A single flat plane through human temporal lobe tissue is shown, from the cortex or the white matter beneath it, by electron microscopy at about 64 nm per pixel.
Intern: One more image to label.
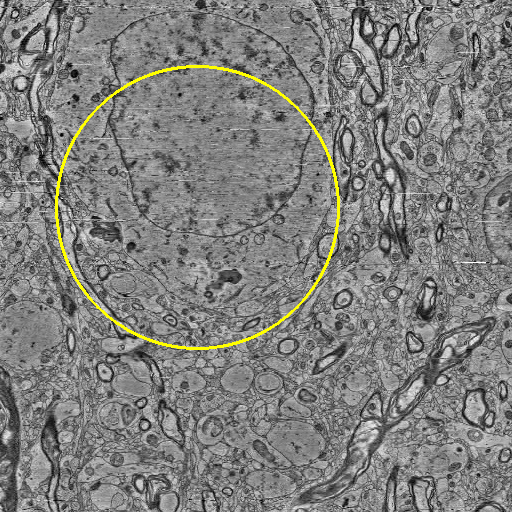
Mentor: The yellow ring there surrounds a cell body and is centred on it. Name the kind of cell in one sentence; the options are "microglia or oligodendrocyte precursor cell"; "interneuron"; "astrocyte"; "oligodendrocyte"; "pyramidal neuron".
The ring marks the cell body of a pyramidal neuron.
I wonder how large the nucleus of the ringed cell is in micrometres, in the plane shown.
About 15 micrometres across, as seen in this plane.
